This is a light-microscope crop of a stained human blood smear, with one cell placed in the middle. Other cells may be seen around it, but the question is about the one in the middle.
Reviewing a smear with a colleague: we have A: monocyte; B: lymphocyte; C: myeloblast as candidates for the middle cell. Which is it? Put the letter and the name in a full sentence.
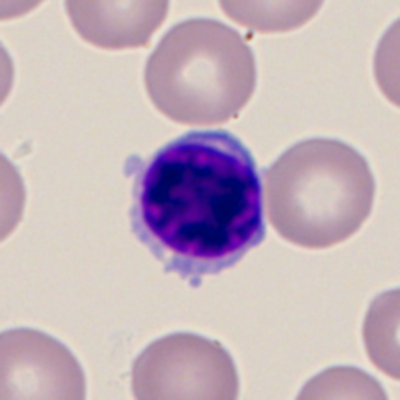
The central cell in this crop is a lymphocyte, so the correct choice is option B.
